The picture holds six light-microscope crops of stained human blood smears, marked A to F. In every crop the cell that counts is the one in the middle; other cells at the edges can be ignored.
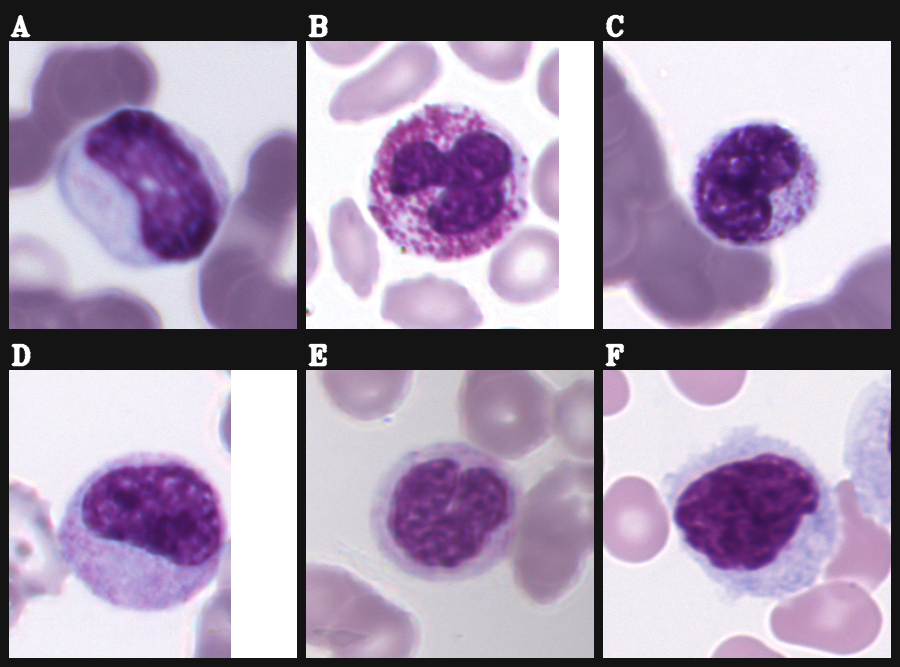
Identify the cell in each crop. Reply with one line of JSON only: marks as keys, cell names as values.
{"A": "band neutrophil", "B": "eosinophil", "C": "metamyelocyte", "D": "metamyelocyte", "E": "band neutrophil", "F": "hairy cell"}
